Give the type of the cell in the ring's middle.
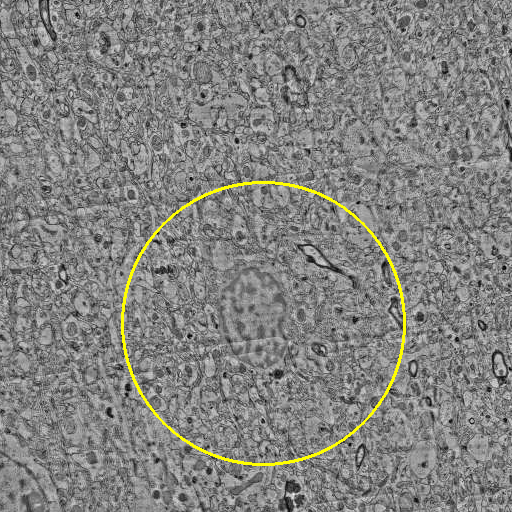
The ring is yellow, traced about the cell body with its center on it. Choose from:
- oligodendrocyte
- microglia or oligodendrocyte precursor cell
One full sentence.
Here, an oligodendrocyte is the cell lying at the center of the yellow ring.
